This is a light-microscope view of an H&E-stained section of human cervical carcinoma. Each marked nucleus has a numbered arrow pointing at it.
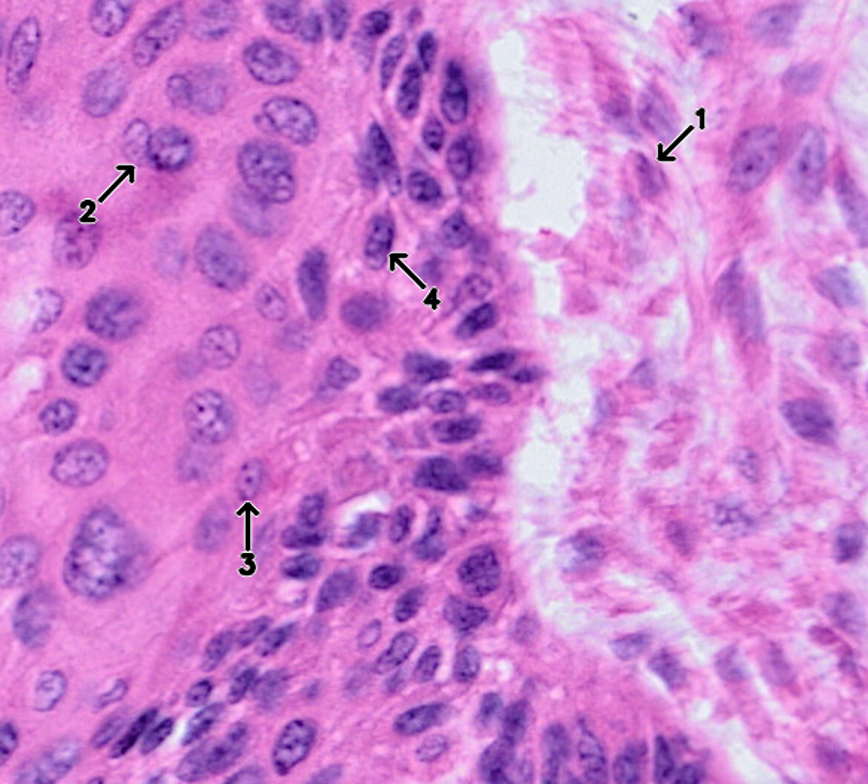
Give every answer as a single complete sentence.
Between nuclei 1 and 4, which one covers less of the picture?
With nucleus 4 about 1.5 times its size, nucleus 1 is the smaller of the two.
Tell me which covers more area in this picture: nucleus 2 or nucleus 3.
The larger nucleus is 2, at roughly 2.5 times the area of 3.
